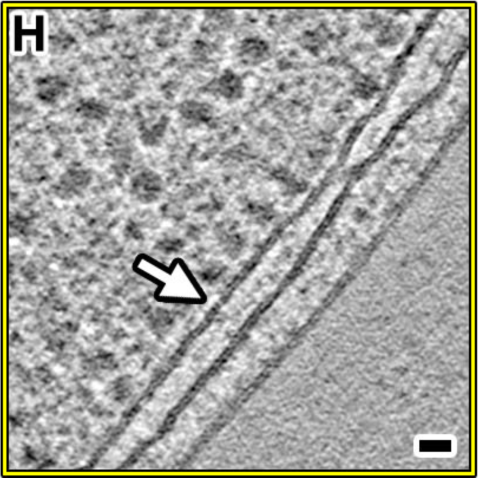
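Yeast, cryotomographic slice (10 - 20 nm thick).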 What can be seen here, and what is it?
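The outer cell membrane runs diagonally across the lower right, and beyond it lies the smooth, fairly featureless cell wall region. Immediately inside it runs a flattened membrane cisterna, parallel to the surface and separated from it by only a narrow gap. Above and to the left the cytoplasm is crowded with dark, roughly round particles of ribosome size.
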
